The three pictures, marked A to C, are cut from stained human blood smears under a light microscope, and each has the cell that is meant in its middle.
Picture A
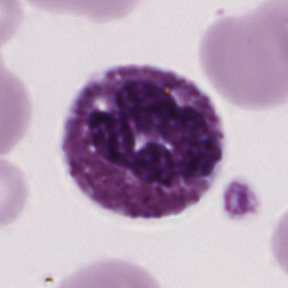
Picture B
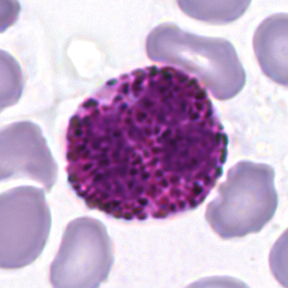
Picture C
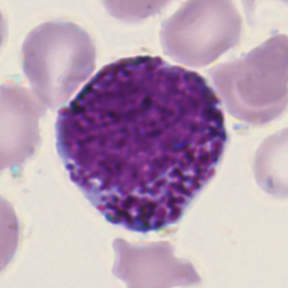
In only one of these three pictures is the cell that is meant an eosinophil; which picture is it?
A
